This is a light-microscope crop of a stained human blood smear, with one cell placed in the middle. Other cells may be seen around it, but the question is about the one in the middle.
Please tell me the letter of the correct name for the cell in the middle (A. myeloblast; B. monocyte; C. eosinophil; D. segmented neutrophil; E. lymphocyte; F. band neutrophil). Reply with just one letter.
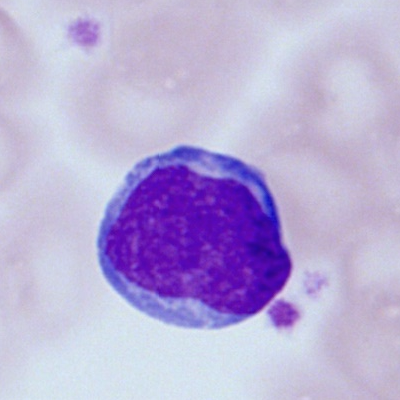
A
